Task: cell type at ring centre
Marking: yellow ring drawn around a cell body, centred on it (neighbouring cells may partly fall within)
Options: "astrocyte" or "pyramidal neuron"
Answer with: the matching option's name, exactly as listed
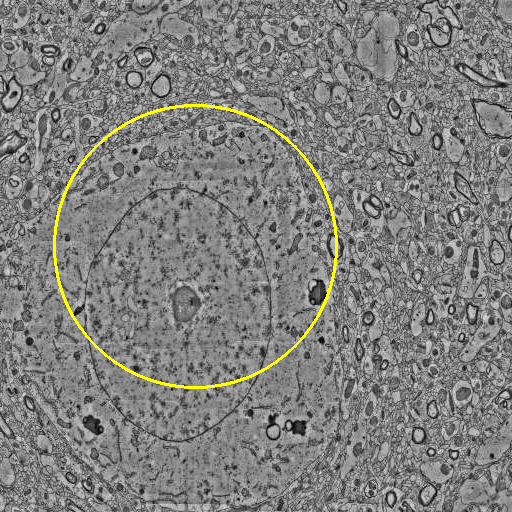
pyramidal neuron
